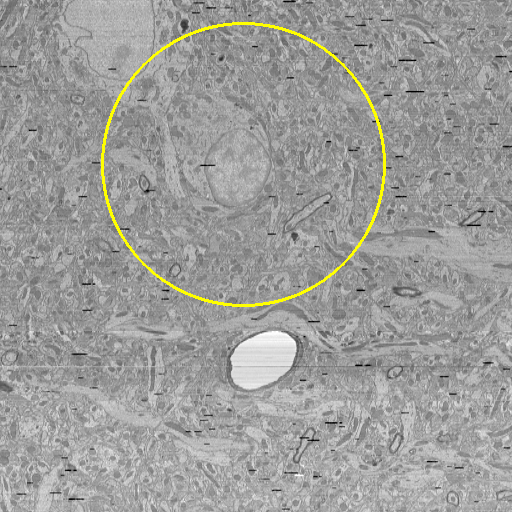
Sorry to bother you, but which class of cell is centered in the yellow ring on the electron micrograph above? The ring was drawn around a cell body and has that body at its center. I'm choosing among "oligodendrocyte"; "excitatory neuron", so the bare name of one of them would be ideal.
oligodendrocyte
